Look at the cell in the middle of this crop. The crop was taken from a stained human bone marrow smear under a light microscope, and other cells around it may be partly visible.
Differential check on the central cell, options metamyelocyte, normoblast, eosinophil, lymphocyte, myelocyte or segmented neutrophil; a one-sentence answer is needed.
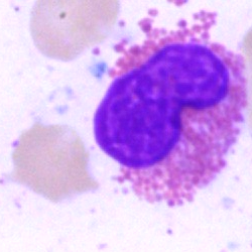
The centrally positioned cell in the crop represents an eosinophil.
